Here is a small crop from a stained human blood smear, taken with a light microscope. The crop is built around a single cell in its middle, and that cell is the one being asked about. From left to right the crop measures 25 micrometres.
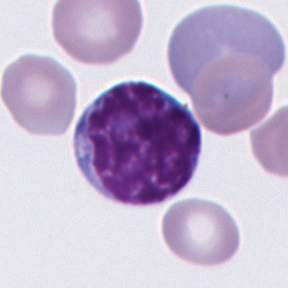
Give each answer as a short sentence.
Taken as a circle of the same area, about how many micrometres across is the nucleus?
The diameter of the nucleus comes to about 10 micrometres.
